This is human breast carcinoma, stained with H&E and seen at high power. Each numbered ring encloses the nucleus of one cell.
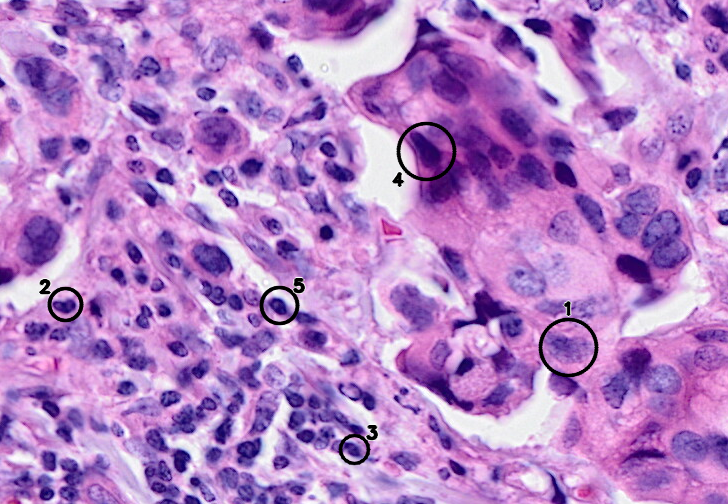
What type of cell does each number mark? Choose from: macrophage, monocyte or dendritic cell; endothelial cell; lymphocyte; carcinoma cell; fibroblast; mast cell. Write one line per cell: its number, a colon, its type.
1: carcinoma cell
2: lymphocyte
3: lymphocyte
4: carcinoma cell
5: lymphocyte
